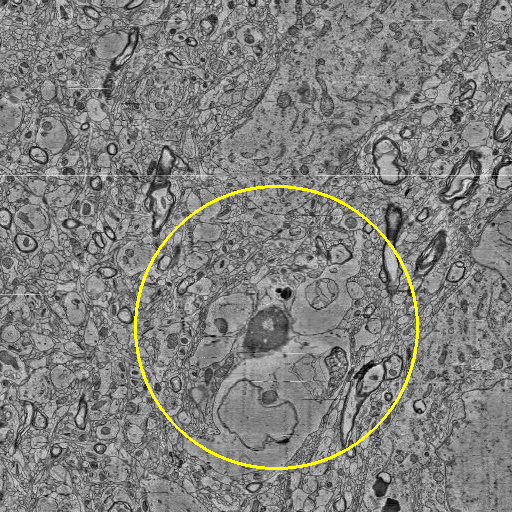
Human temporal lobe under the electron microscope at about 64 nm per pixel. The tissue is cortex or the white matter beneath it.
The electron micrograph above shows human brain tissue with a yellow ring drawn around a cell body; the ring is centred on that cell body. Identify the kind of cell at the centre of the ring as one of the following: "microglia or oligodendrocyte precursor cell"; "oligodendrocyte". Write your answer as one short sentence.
The cell at the centre of the ring is a microglial cell or oligodendrocyte precursor cell.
